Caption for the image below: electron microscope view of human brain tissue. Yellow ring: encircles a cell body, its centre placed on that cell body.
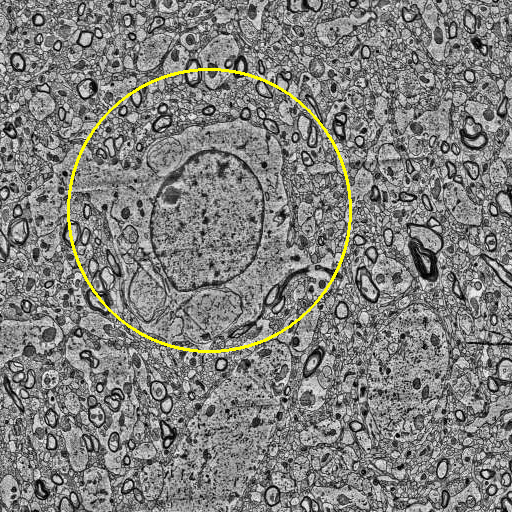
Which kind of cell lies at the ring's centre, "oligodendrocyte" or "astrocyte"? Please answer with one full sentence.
The picture shows an astrocyte at the centre of the yellow ring.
